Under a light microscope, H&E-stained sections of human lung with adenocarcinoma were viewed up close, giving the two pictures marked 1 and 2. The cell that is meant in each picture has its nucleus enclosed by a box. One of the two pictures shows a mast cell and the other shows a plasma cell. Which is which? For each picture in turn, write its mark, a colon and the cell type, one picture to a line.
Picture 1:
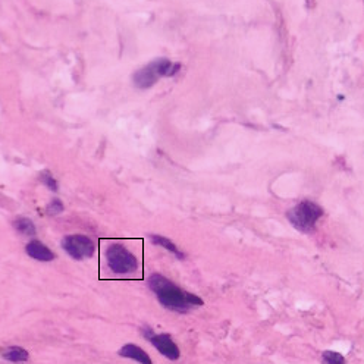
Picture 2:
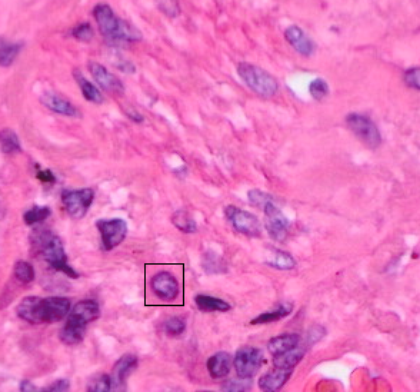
1: plasma cell
2: mast cell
